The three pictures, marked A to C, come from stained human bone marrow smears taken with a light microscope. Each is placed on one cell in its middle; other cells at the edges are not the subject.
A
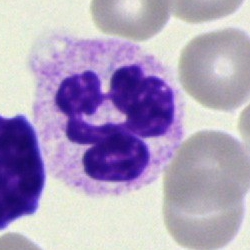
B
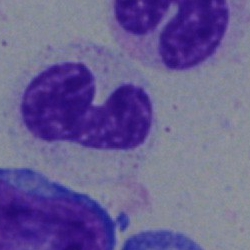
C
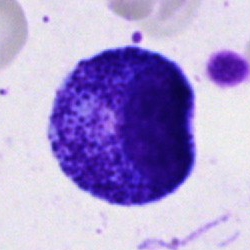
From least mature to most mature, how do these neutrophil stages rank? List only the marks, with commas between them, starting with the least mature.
C, B, A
